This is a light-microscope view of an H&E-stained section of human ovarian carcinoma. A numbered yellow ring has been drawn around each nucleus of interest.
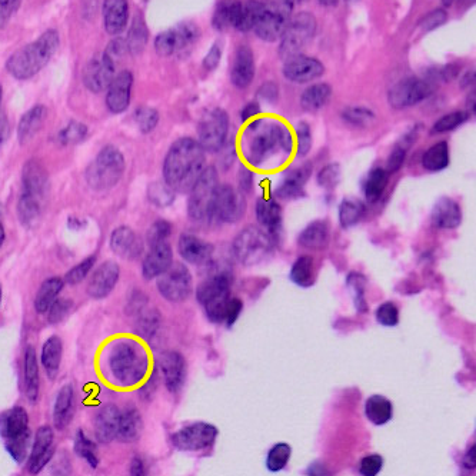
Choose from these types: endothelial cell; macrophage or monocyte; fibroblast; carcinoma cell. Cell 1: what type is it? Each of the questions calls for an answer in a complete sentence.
Cell 1, among those numbered, is a carcinoma cell.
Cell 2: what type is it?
In the tissue shown, cell 2 is a macrophage or monocyte.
